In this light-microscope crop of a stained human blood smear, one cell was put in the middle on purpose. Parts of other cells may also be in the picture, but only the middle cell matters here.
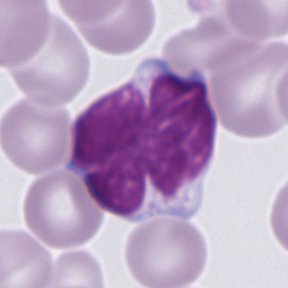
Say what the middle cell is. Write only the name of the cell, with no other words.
large granular lymphocyte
